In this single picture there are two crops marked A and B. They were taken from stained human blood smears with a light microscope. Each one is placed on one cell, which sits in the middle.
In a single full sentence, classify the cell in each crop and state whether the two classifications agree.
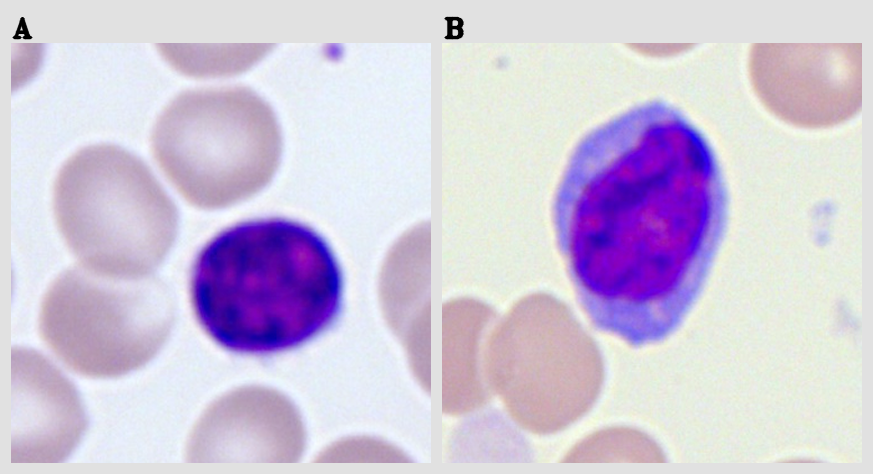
Yes, the same answer goes for both crops, namely lymphocytes.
